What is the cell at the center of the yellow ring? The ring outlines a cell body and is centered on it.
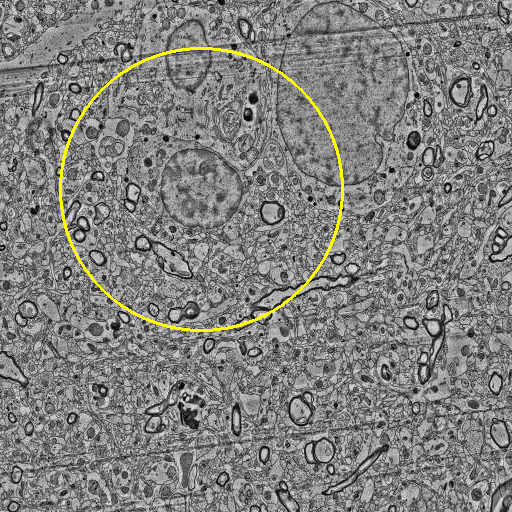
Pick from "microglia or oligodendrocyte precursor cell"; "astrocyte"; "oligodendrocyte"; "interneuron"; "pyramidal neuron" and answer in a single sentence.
The yellow ring is centered on an oligodendrocyte.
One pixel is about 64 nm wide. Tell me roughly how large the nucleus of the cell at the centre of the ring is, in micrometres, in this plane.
About 5 micrometers across, in this plane.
